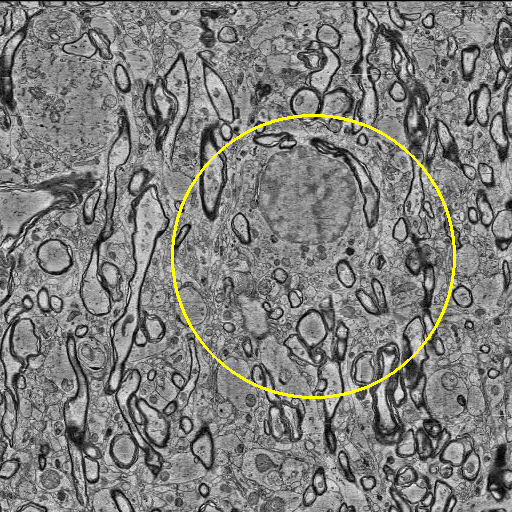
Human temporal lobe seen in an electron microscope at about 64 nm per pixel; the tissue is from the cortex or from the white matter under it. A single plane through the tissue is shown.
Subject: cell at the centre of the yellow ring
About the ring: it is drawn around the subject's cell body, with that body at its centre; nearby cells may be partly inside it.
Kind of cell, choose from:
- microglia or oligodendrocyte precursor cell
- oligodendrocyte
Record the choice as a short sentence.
The subject cell is an oligodendrocyte.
